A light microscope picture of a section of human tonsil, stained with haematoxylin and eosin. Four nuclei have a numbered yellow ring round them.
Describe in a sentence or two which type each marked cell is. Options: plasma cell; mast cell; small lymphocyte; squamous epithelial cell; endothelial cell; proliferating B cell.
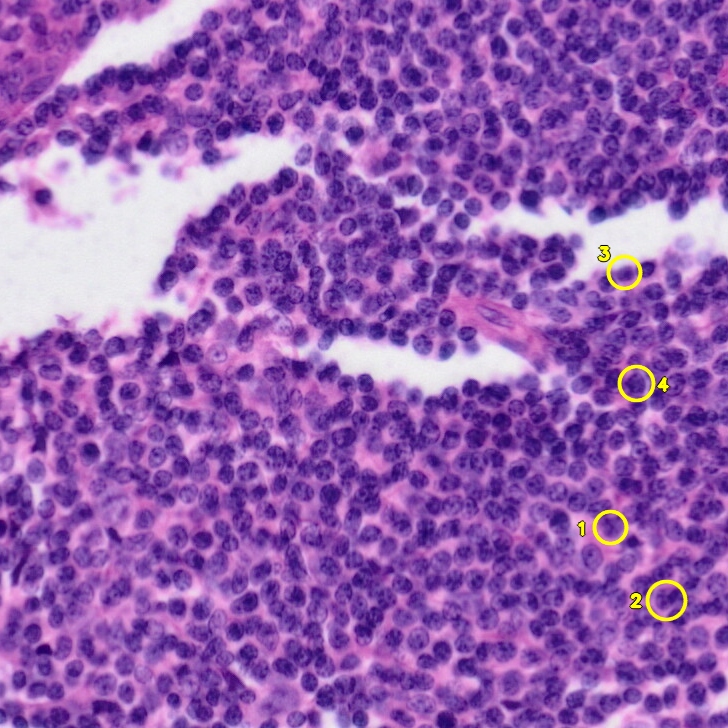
Cell 1 is a proliferating B cell. Cells 2, 3 and 4 are small lymphocytes.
